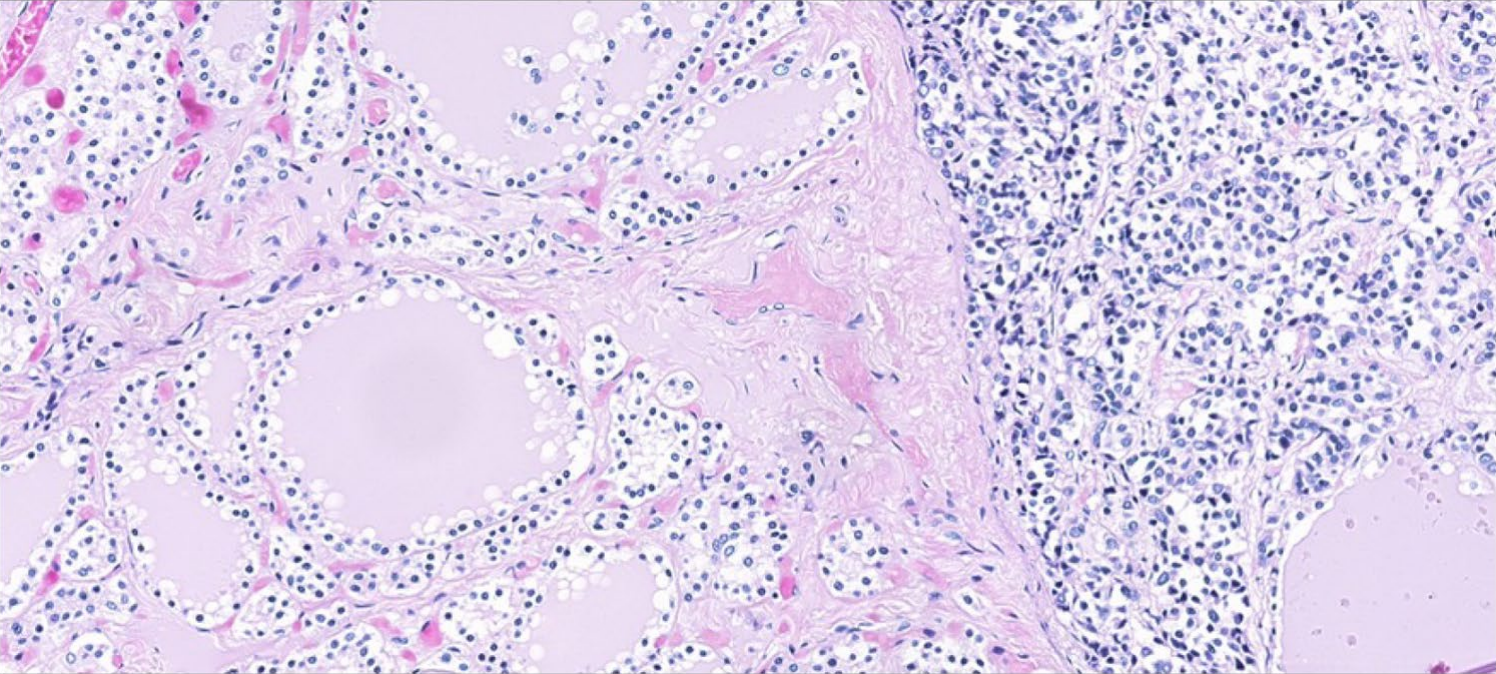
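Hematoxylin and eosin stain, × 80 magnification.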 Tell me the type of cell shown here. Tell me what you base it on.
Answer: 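Tumor cells. Right half is a dense sheet of small cells with round dark nuclei. This cellular sheet sits against the follicles, separated by a pink fibrous band.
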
